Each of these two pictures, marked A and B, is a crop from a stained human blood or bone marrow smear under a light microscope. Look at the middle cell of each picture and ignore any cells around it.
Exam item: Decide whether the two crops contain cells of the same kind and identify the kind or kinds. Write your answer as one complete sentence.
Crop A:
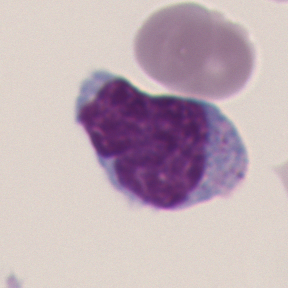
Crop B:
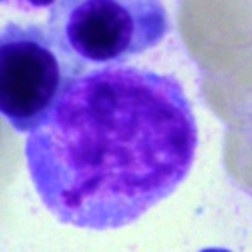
Yes, monocytes are shown in both crops.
